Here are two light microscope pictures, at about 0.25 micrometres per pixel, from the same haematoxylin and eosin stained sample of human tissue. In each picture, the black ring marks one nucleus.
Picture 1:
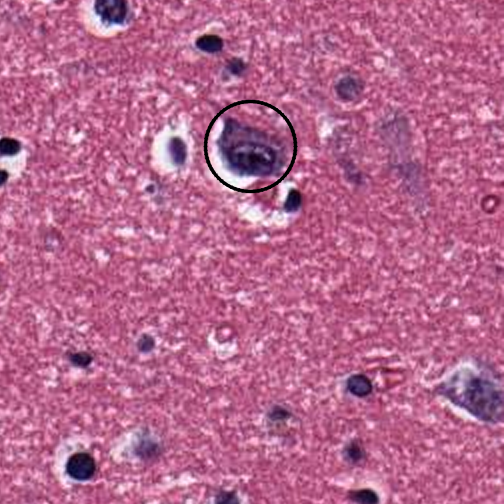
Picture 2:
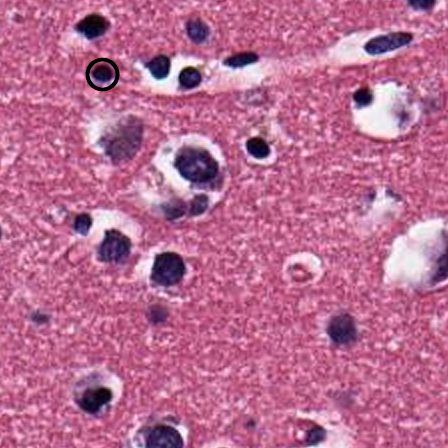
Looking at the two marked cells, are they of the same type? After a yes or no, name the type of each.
No, the first is a neuron and the second an oligodendrocyte.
